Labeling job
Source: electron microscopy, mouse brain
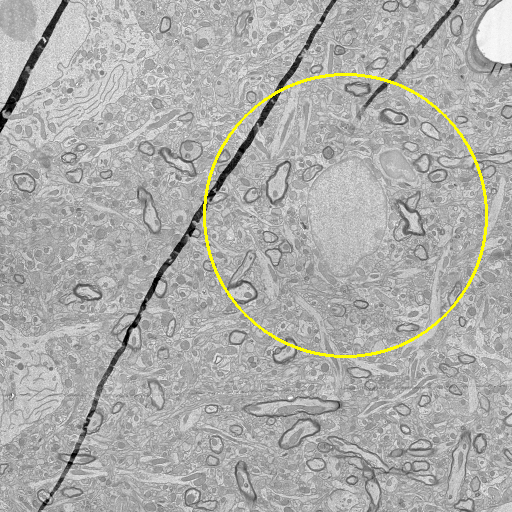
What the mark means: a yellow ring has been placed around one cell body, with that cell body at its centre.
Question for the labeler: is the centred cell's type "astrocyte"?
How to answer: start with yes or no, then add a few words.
Yes, that is its type.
